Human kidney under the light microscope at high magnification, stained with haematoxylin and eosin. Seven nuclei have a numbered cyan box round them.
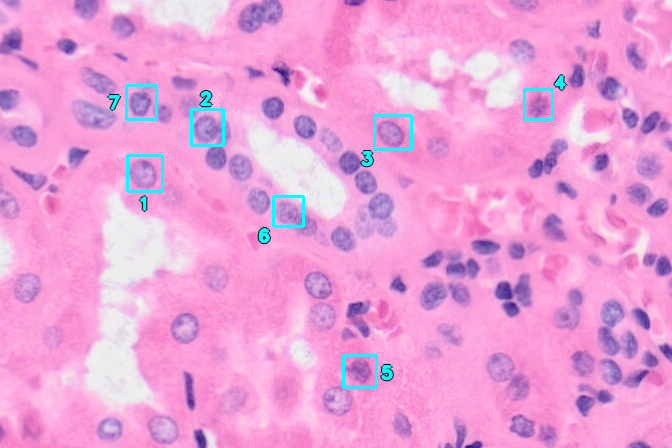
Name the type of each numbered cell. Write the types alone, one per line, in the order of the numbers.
proximal tubule cell
collecting duct cell
proximal tubule cell
proximal tubule cell
proximal tubule cell
collecting duct cell
collecting duct cell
